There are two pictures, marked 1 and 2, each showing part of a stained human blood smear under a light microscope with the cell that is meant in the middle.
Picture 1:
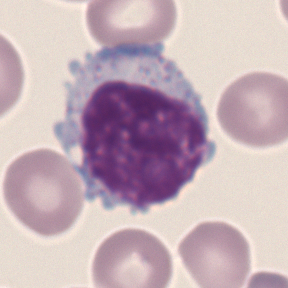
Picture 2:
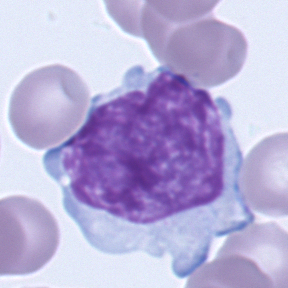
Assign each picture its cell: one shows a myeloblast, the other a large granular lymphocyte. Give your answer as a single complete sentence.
Picture 1 is of a large granular lymphocyte, and picture 2 is of a myeloblast.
